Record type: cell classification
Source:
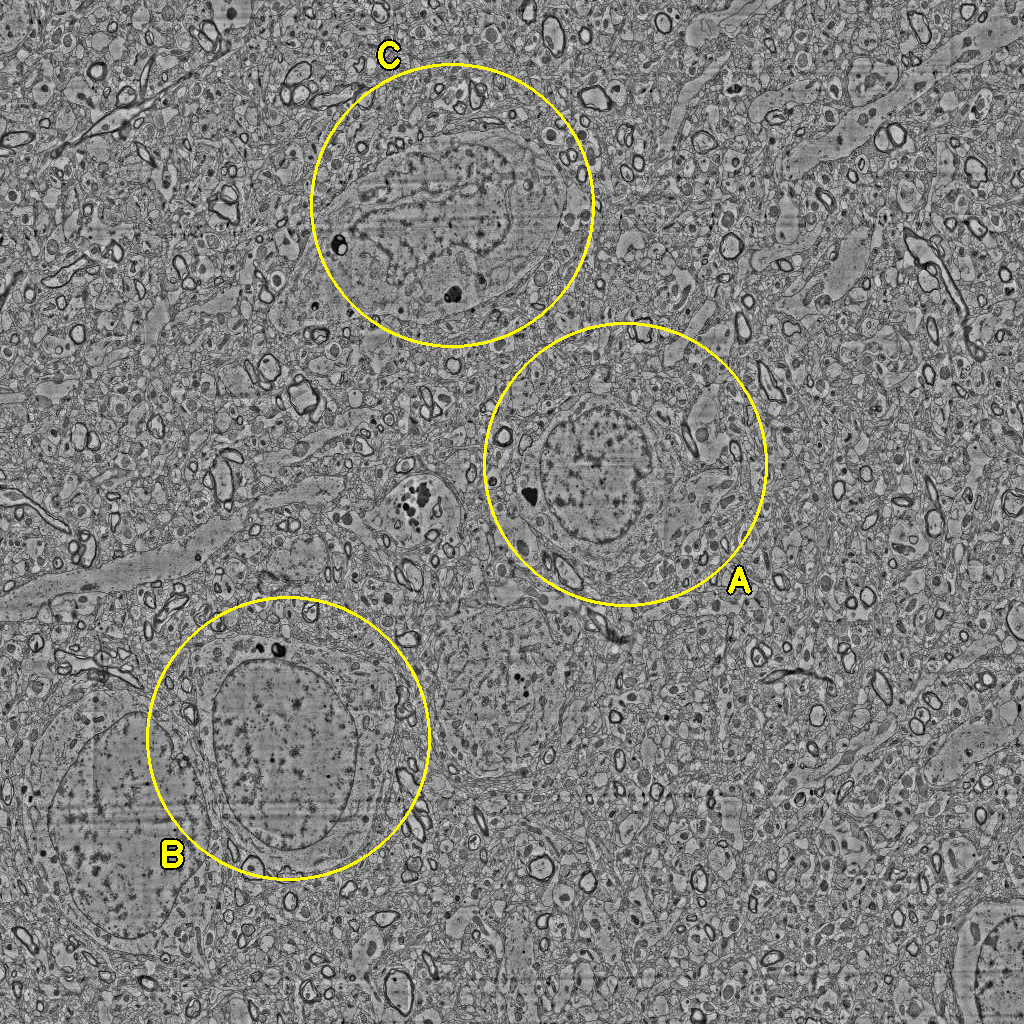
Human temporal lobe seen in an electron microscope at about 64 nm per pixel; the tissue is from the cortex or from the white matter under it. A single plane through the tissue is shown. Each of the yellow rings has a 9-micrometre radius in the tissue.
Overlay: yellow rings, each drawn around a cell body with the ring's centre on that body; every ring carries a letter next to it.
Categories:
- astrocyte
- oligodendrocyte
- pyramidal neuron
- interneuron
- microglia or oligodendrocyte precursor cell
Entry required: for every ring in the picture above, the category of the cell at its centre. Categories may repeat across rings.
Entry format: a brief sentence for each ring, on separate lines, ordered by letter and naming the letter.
At the centre of ring A lies an interneuron.
At the centre of ring B lies a pyramidal neuron.
At the centre of ring C lies an interneuron.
